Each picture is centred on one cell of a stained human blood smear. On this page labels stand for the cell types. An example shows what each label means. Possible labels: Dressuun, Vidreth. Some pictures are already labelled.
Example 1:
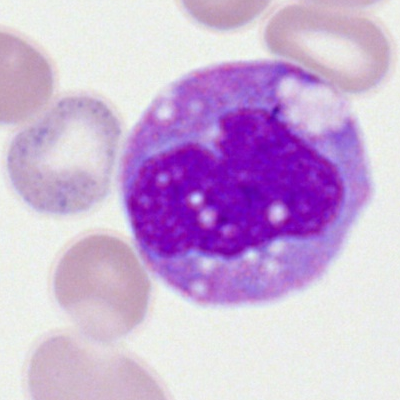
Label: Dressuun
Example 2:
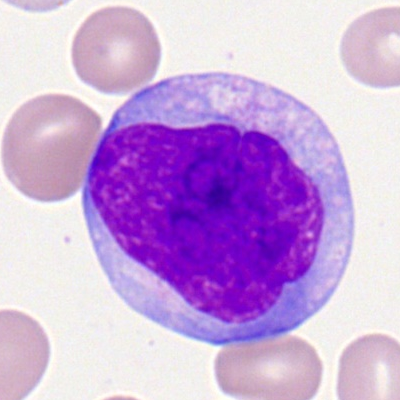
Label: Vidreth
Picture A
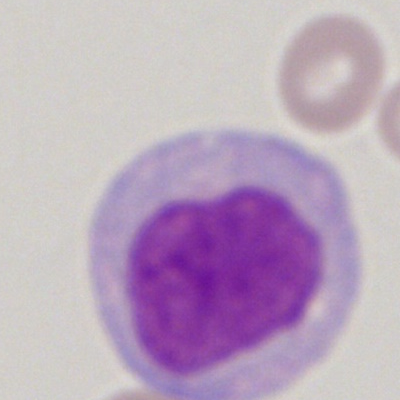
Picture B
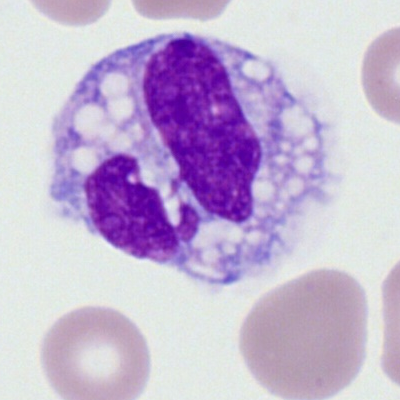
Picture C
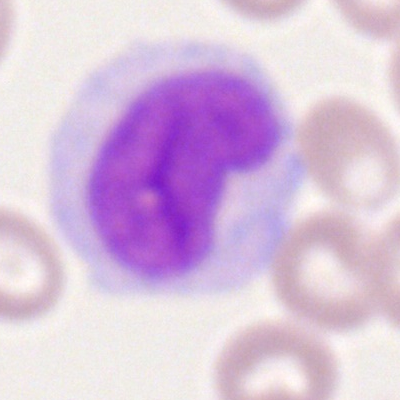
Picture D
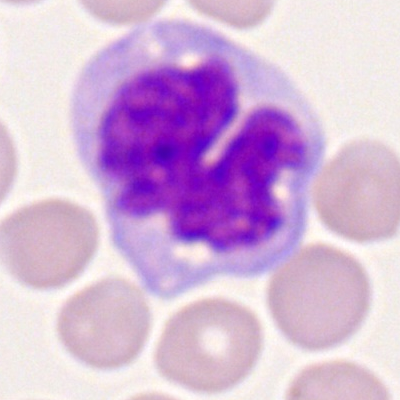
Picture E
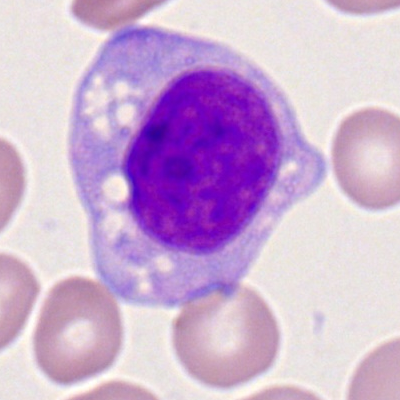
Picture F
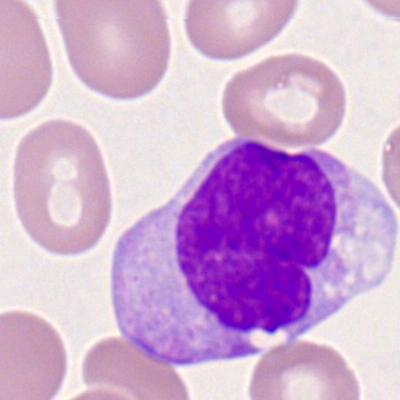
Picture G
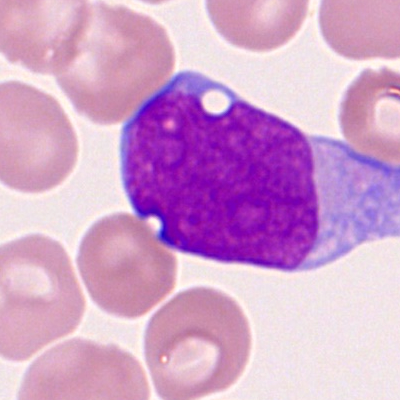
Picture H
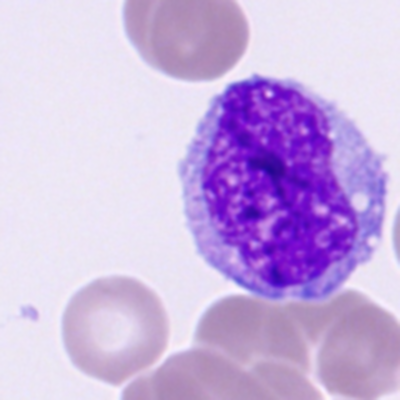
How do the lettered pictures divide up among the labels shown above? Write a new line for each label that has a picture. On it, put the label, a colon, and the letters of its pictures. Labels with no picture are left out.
Dressuun: A, B, C, D, E, F, H
Vidreth: G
